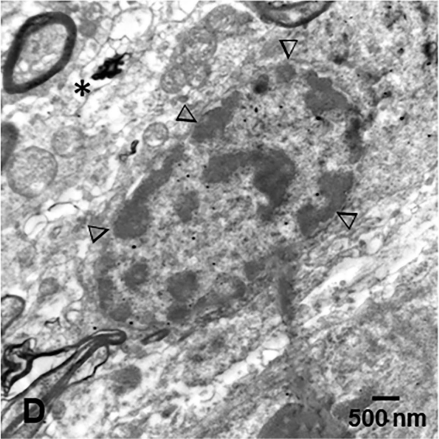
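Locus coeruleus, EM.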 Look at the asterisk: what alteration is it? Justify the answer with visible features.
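Pale, loosely packed area beside the cell. Scattered membrane profiles with clear spaces between them.
Loose neuropil.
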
